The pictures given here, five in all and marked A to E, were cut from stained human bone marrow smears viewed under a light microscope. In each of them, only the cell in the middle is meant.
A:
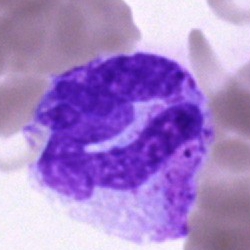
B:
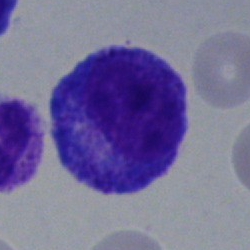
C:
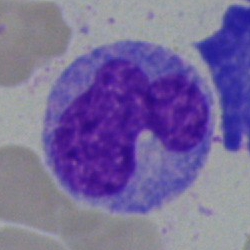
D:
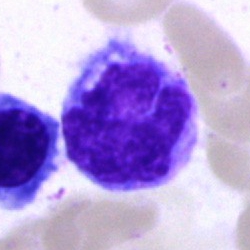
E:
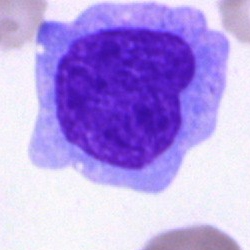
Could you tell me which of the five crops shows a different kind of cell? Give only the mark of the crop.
B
